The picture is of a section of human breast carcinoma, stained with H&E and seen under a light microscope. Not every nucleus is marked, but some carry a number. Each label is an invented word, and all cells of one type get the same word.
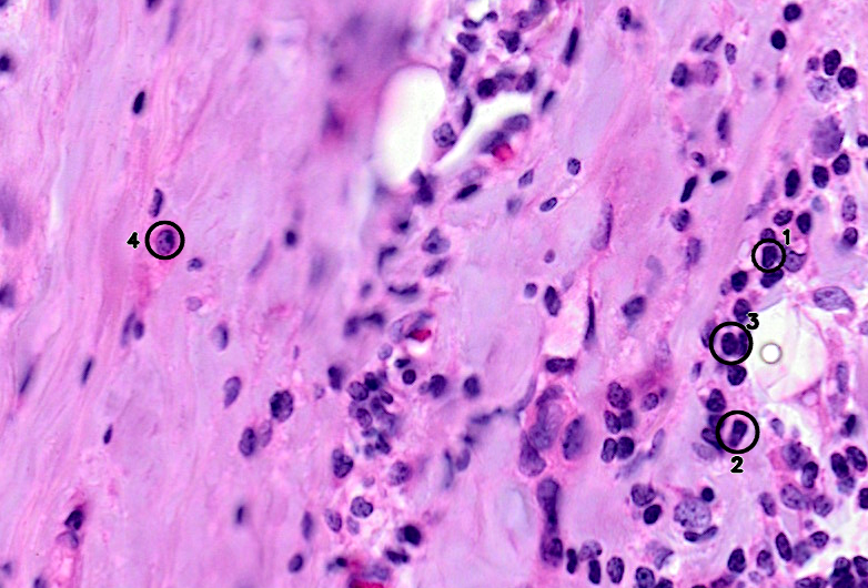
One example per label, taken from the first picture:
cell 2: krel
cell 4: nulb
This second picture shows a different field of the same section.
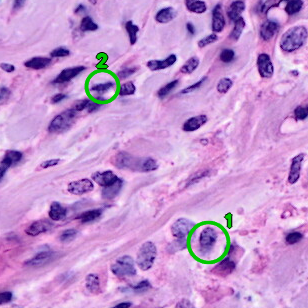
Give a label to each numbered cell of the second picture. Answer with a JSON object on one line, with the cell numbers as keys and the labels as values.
{"1": "nulb", "2": "krel"}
